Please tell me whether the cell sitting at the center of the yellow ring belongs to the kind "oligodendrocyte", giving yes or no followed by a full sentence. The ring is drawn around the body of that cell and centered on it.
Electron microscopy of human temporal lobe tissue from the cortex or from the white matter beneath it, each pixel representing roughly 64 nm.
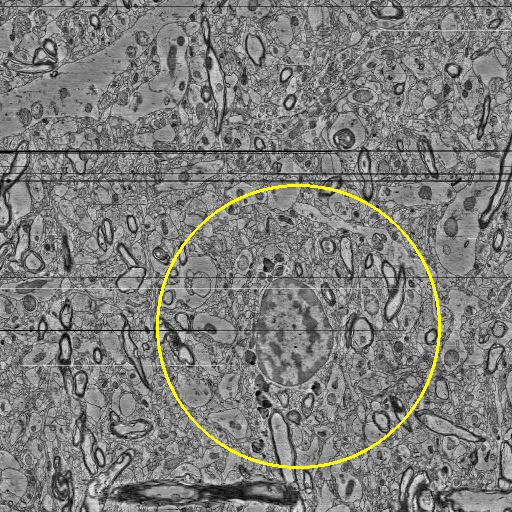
No, the cell at the center of the ring in the picture is of another kind.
